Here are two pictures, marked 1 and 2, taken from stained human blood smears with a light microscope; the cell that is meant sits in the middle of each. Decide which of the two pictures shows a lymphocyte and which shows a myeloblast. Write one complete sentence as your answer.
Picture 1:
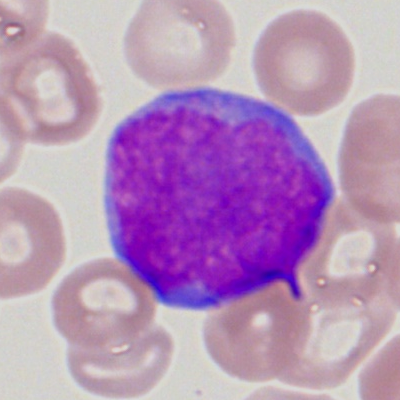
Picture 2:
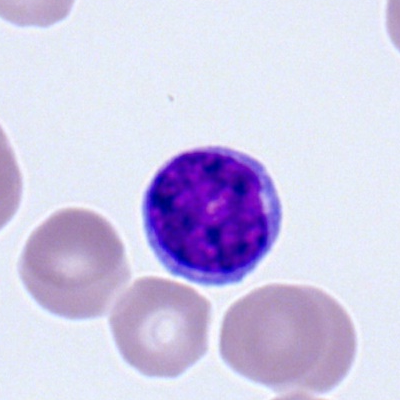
In picture 1 the cell is a myeloblast; in picture 2, a lymphocyte.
